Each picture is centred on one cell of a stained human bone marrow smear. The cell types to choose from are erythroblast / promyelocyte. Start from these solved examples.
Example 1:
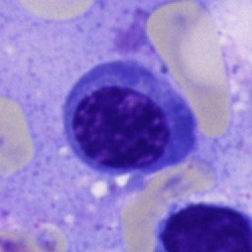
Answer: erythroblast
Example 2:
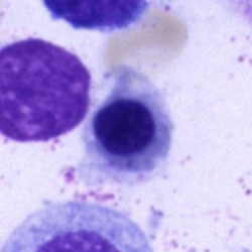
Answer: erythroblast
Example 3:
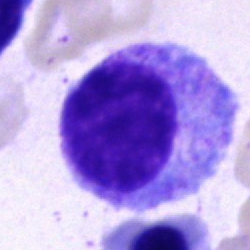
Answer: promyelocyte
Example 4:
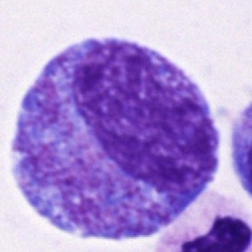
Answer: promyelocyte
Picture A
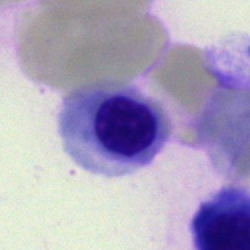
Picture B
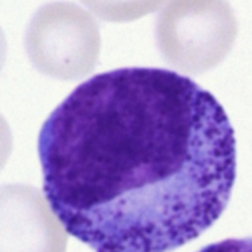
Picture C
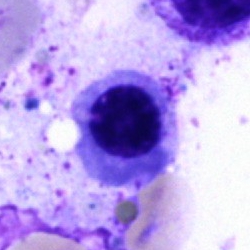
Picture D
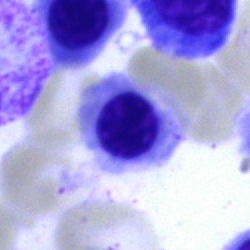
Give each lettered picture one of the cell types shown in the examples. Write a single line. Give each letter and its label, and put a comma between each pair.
A erythroblast, B promyelocyte, C erythroblast, D erythroblast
